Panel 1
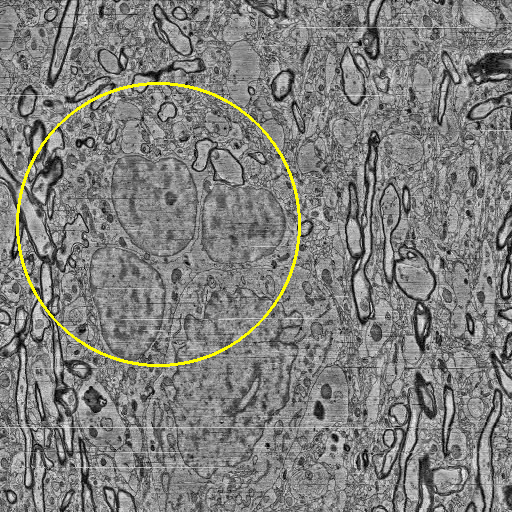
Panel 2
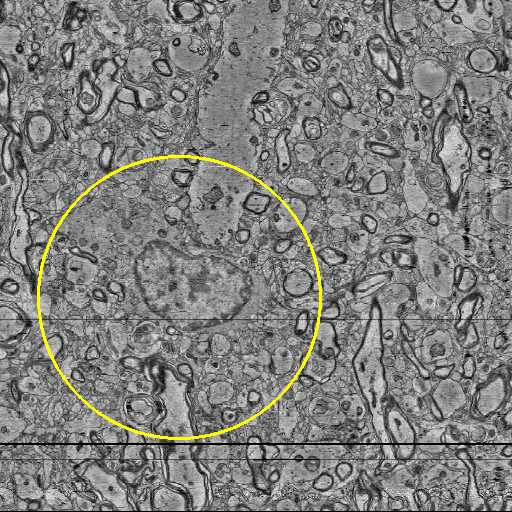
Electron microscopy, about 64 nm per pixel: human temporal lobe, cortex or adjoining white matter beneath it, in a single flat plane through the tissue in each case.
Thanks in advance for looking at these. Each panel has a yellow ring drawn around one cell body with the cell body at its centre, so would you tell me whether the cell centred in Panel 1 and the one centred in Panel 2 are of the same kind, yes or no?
yes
